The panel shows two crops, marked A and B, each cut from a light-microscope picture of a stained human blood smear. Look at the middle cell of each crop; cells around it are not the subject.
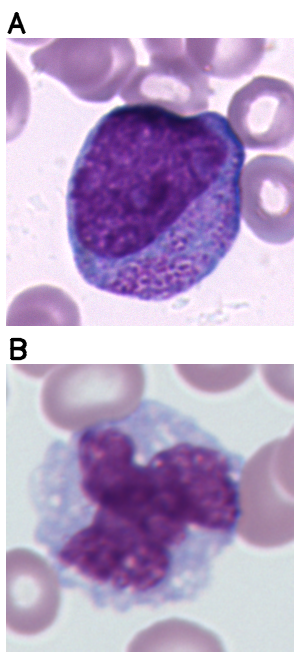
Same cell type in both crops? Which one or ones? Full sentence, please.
No, in crop A there is a promyelocyte, and in crop B there is a monocyte.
